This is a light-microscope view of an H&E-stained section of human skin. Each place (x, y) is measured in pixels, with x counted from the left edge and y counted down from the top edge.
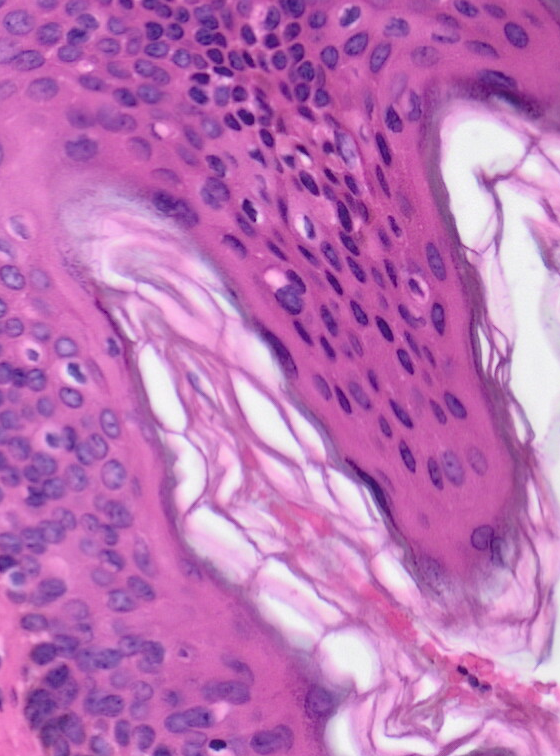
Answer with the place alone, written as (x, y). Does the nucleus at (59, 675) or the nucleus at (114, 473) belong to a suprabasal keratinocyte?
(114, 473)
